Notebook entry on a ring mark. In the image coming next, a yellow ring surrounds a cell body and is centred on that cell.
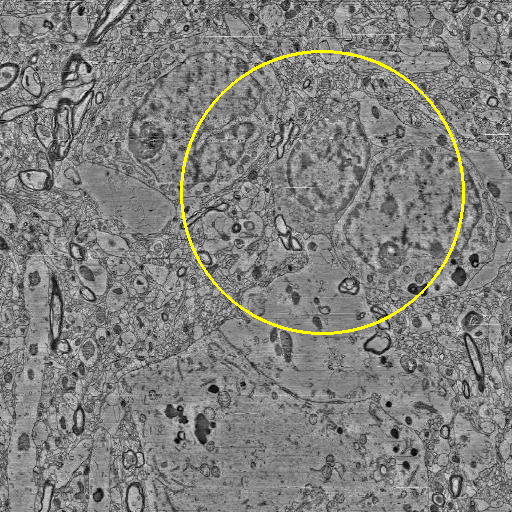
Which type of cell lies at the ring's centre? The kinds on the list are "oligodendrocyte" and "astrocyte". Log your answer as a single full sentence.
Centred in the yellow ring is an oligodendrocyte, the cell recorded for this image.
